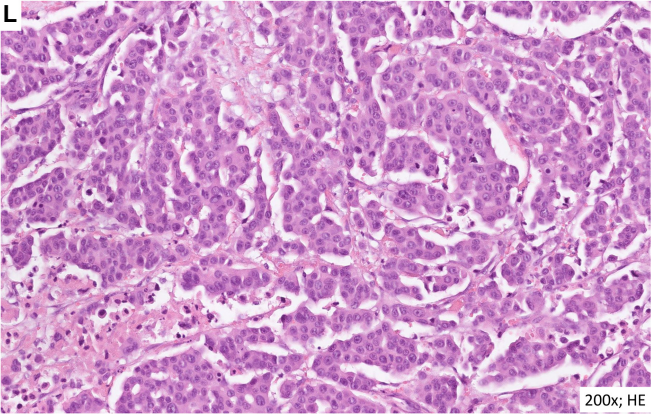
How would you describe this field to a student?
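This is a carcinoma made of densely packed large tumor cells arranged in anastomosing cords, trabeculae and solid sheets, separated by narrow clefts and thin strands of pink stroma. The cells are polygonal with moderate amounts of pink to purple cytoplasm and fairly distinct borders. Their nuclei are large, round to oval and vesicular, with finely granular chromatin and a conspicuous nucleolus in many of them. The nuclei vary somewhat in size. Small amounts of loose pale pink fibrillar material lie between some cords.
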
